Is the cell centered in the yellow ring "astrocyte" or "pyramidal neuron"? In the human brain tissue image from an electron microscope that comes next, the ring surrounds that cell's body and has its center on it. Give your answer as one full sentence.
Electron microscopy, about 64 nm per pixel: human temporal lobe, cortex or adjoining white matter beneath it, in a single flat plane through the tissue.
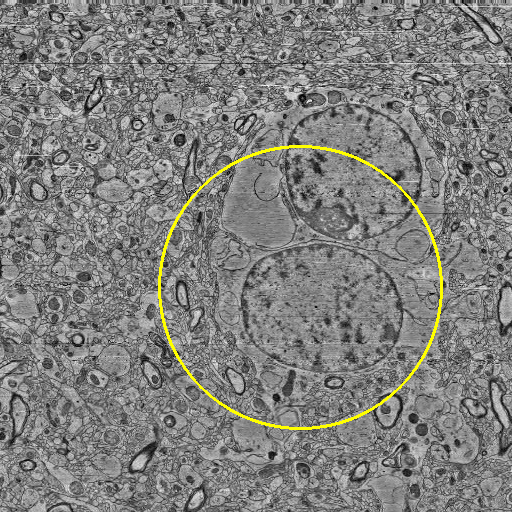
The cell at the center of the yellow ring is an astrocyte in the micrograph.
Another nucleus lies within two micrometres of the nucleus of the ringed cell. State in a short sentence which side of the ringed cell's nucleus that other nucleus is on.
The other nucleus appears above it.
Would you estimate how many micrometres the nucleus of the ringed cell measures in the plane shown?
The ringed cell's nucleus measures approximately 10 by 9 micrometres in this plane.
